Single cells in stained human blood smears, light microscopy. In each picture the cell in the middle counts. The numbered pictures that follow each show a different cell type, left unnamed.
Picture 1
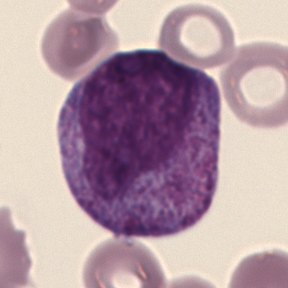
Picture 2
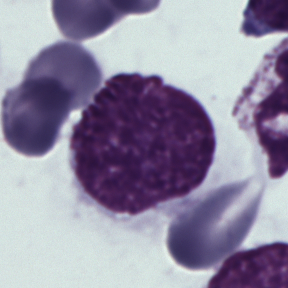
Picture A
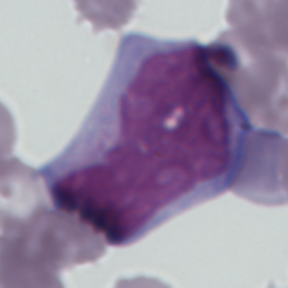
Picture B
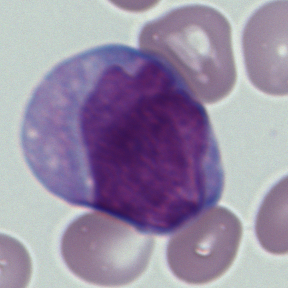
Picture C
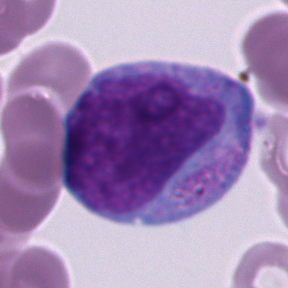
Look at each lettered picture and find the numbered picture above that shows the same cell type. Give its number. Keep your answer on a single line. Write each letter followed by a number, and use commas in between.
A 2, B 1, C 1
